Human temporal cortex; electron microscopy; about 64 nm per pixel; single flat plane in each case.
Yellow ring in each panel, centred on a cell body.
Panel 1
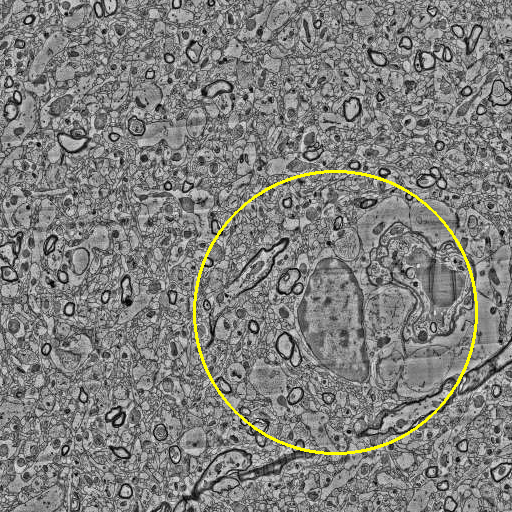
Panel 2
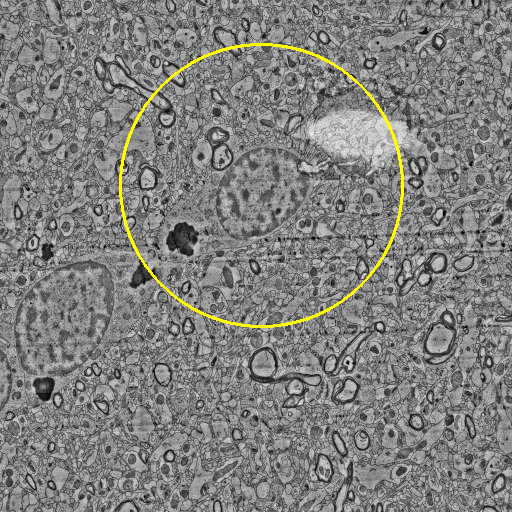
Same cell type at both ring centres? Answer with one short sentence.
No, the two cells are of two types.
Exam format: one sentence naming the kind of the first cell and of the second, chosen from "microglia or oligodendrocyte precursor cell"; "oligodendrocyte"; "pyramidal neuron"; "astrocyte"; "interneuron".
The first picture's cell is a microglial cell or oligodendrocyte precursor cell, and the second picture's cell is an oligodendrocyte.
